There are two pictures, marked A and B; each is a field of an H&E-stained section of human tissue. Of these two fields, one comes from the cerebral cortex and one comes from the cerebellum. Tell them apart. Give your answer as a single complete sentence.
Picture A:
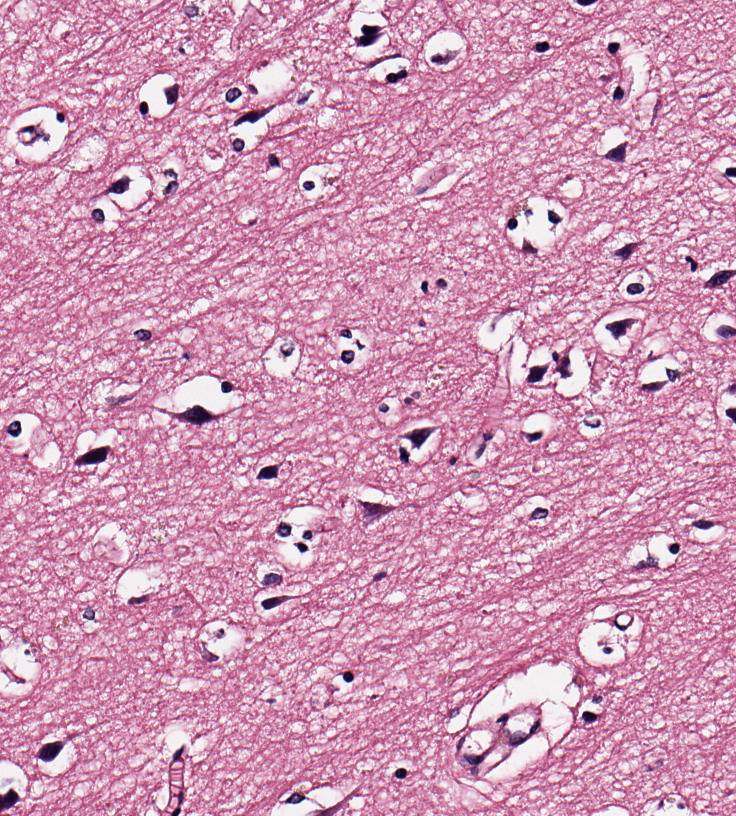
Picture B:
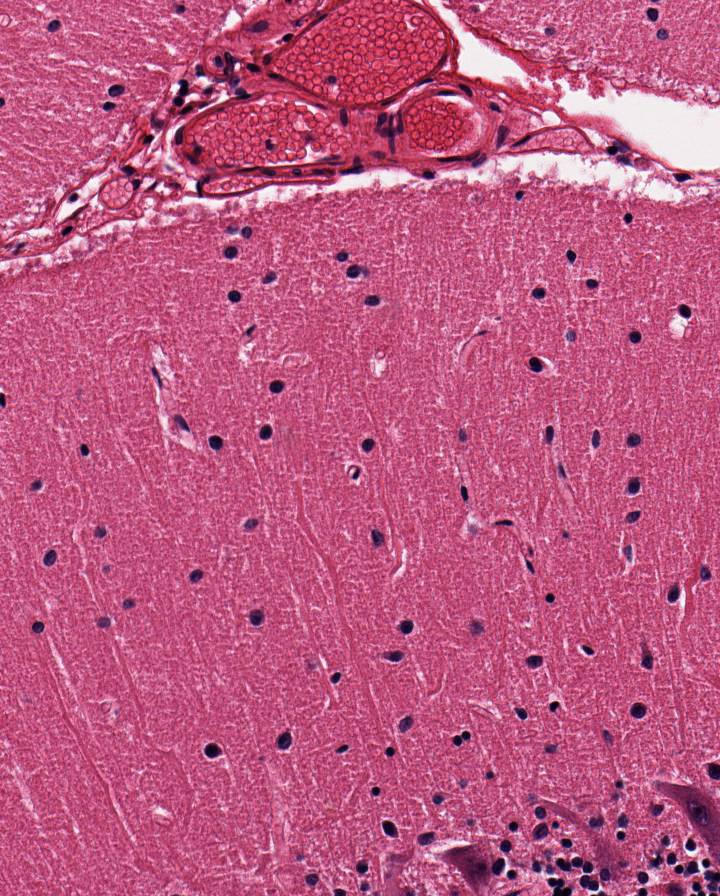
Picture A comes from the cerebral cortex and picture B comes from the cerebellum.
